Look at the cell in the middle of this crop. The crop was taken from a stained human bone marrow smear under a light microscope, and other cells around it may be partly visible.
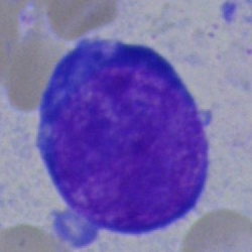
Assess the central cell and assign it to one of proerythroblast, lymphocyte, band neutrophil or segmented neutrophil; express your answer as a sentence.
The crop shows a proerythroblast in its centre.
